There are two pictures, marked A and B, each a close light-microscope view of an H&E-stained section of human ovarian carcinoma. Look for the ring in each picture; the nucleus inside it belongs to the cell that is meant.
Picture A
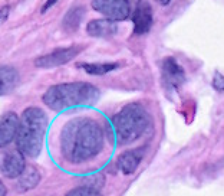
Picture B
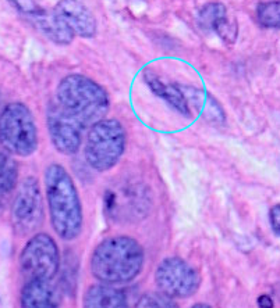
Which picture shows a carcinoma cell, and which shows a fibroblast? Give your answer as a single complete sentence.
Picture A is of a carcinoma cell, and picture B is of a fibroblast.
